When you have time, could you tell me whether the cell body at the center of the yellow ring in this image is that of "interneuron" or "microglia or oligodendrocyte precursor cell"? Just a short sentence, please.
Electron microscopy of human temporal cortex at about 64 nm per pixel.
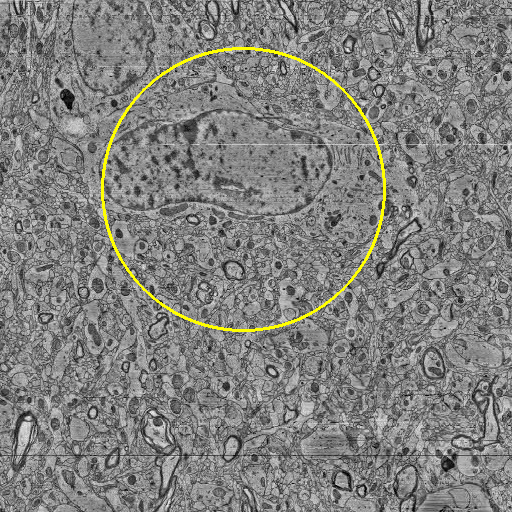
The cell body at the center of the ring is that of a microglial cell or oligodendrocyte precursor cell.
